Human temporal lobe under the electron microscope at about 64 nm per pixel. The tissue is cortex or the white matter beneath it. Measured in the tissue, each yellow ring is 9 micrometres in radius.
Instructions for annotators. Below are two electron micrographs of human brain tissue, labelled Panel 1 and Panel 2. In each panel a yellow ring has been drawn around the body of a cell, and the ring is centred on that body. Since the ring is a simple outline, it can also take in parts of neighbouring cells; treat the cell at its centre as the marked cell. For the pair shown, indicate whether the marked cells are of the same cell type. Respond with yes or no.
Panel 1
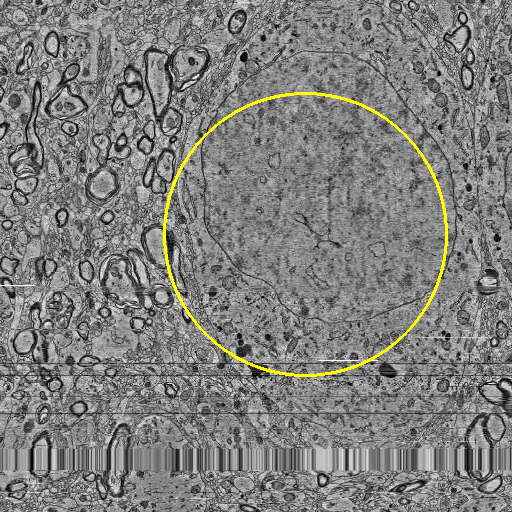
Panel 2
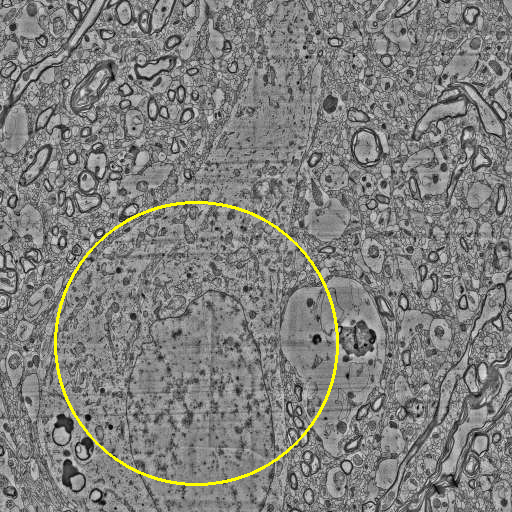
yes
